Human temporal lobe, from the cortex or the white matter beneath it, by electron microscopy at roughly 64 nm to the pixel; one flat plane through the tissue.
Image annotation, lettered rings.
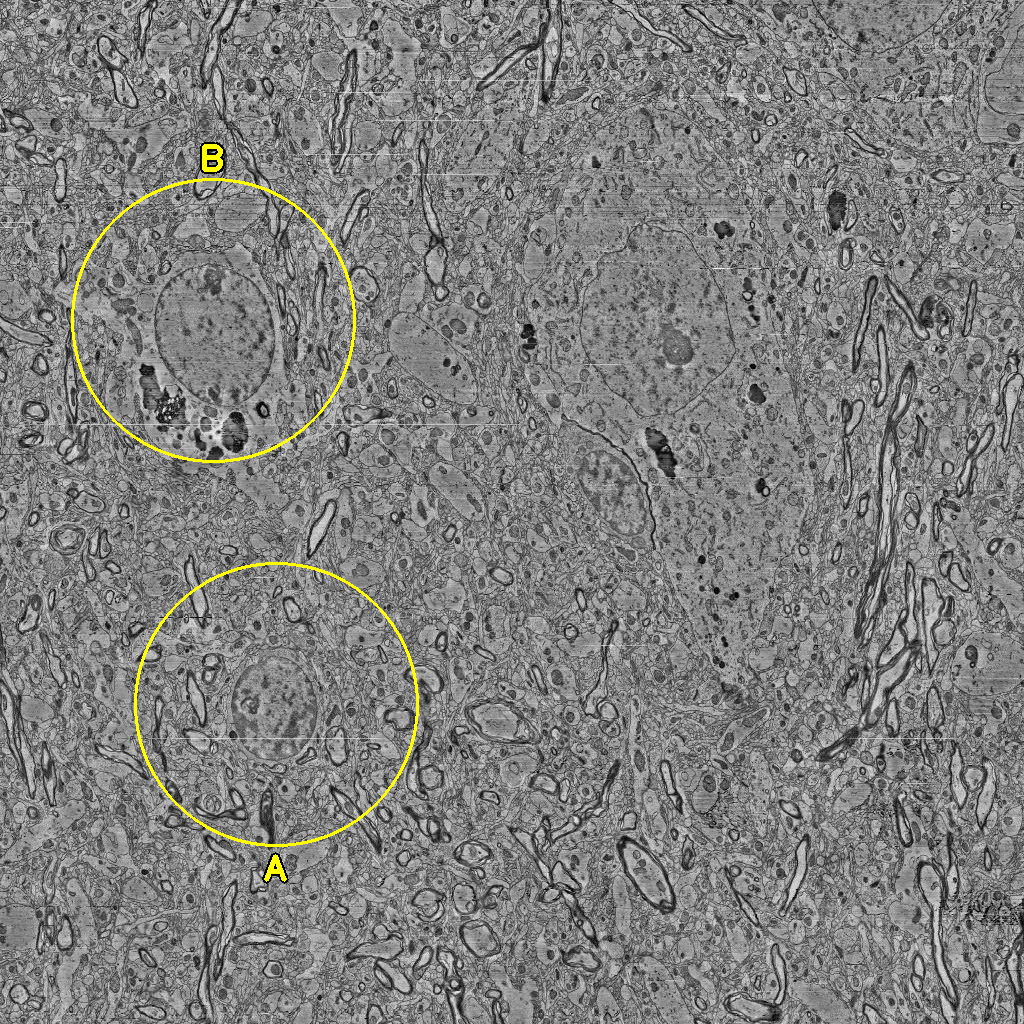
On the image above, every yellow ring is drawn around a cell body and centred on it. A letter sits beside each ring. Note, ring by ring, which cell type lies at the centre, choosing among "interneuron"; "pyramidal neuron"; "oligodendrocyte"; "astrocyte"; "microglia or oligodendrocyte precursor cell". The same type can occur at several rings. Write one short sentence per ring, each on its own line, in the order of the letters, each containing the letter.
Ring A has an oligodendrocyte at its centre.
Ring B has an astrocyte at its centre.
